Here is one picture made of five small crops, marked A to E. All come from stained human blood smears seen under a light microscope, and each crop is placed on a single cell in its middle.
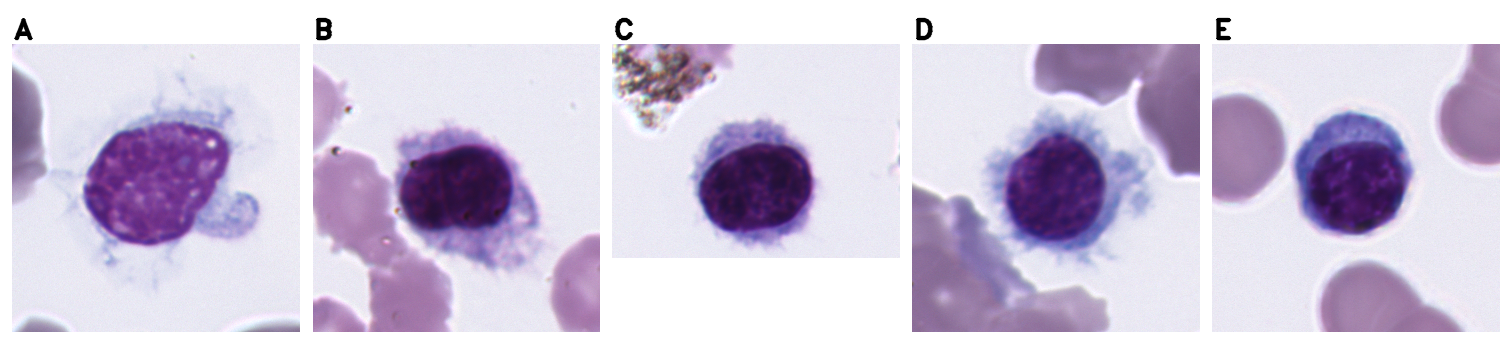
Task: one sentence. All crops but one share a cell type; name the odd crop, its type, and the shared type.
Excluding crop E, which is a plasma cell, the crops all show hairy cells.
